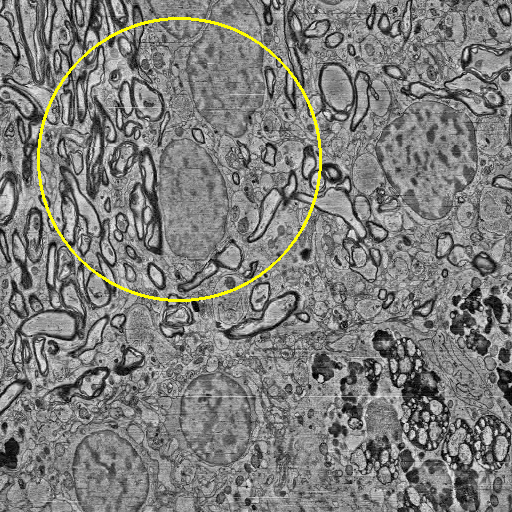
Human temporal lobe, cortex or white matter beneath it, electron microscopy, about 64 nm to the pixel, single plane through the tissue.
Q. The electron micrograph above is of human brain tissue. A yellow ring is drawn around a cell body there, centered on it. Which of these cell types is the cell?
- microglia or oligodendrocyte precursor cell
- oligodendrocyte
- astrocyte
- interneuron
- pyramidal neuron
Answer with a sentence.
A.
The cell under the ring's center is an oligodendrocyte.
